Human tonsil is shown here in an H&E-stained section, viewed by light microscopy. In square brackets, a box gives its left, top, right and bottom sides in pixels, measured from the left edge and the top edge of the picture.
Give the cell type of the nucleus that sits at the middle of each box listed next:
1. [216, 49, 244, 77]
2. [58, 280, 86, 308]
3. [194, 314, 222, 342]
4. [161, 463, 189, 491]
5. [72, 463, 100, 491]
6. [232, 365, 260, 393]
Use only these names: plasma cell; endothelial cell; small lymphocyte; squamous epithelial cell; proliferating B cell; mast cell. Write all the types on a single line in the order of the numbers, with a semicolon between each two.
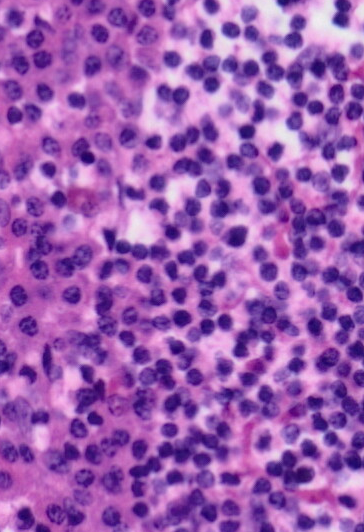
small lymphocyte; plasma cell; small lymphocyte; small lymphocyte; plasma cell; small lymphocyte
